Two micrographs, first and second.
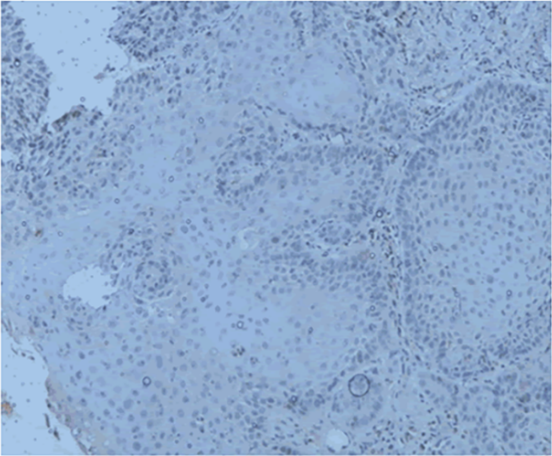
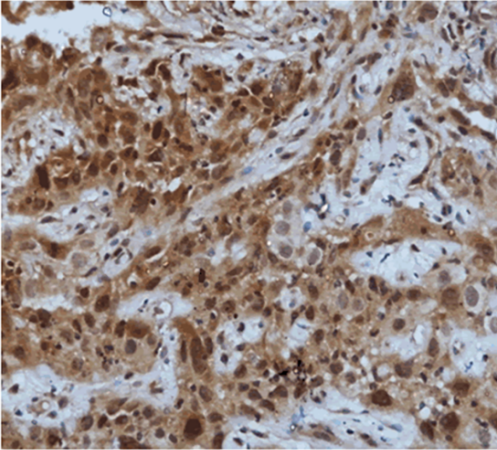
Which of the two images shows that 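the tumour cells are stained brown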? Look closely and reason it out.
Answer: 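The second image. Second image: most tumour cells show intense brown cytoplasmic and nuclear colour.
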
